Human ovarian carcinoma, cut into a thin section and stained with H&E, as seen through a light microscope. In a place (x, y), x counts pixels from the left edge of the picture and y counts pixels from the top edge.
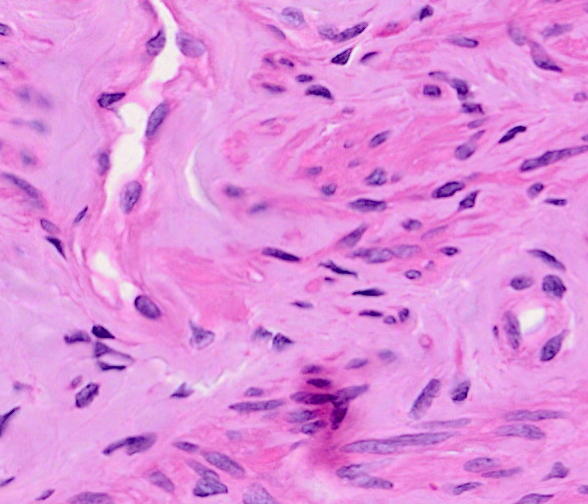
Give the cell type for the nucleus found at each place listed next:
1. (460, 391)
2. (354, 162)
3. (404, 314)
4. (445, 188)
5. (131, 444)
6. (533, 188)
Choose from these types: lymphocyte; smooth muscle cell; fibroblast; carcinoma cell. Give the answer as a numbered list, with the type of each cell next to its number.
1. fibroblast
2. smooth muscle cell
3. smooth muscle cell
4. smooth muscle cell
5. fibroblast
6. smooth muscle cell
